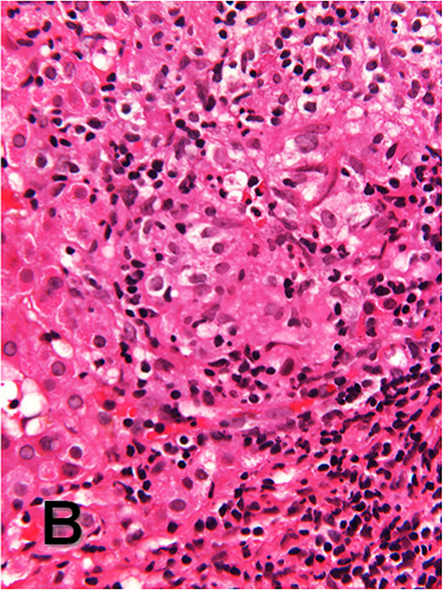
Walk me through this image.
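Liver with a rounded nodular lesion of inflammatory cells set among hepatocytes. At its center lies a cluster of larger cells with abundant pale pink cytoplasm, indistinct borders and oval, pale vesicular nuclei. Around it, especially along the lower and right side, runs a dense band of small cells with dark, round nuclei and scant cytoplasm. At the left edge, ordinary hepatocytes with pink cytoplasm and round nuclei remain, a few with clear vacuoles. This is a granuloma: a central cluster of epithelioid histiocytes partly surrounded by a band of small mature lymphocytes.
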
